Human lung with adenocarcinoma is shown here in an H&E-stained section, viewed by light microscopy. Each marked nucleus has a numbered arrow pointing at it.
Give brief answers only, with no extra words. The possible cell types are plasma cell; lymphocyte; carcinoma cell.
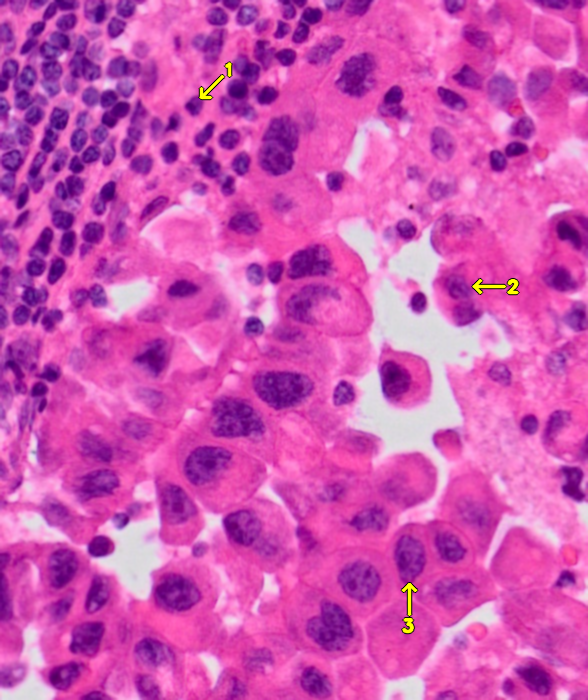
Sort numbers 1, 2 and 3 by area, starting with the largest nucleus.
3, 2, 1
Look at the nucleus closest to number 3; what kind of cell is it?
carcinoma cell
